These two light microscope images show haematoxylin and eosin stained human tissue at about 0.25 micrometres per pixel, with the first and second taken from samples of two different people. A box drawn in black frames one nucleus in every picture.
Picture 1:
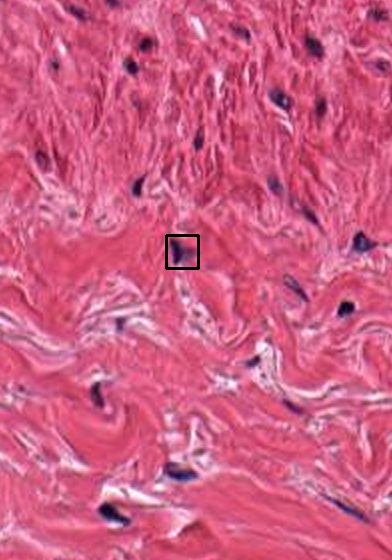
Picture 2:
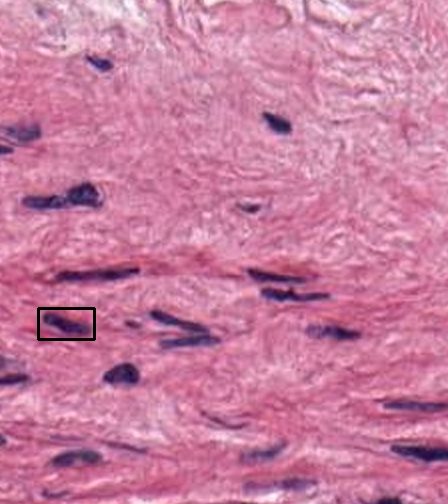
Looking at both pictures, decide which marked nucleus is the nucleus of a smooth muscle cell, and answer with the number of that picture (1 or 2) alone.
2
